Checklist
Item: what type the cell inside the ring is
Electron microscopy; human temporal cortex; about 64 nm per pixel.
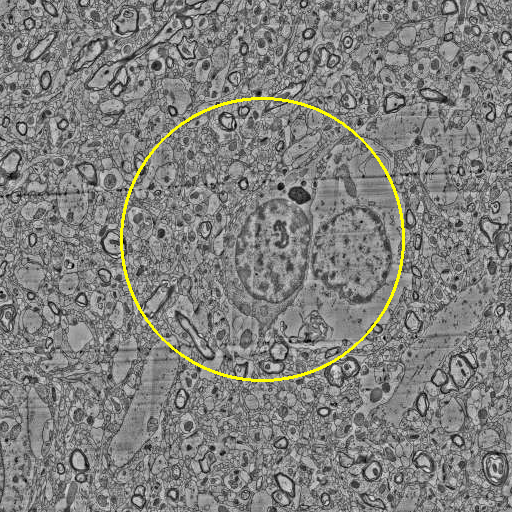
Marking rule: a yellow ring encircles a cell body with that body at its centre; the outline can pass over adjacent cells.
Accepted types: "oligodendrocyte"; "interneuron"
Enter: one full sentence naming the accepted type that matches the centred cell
The entry is that an oligodendrocyte lies at the centre of the yellow ring.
